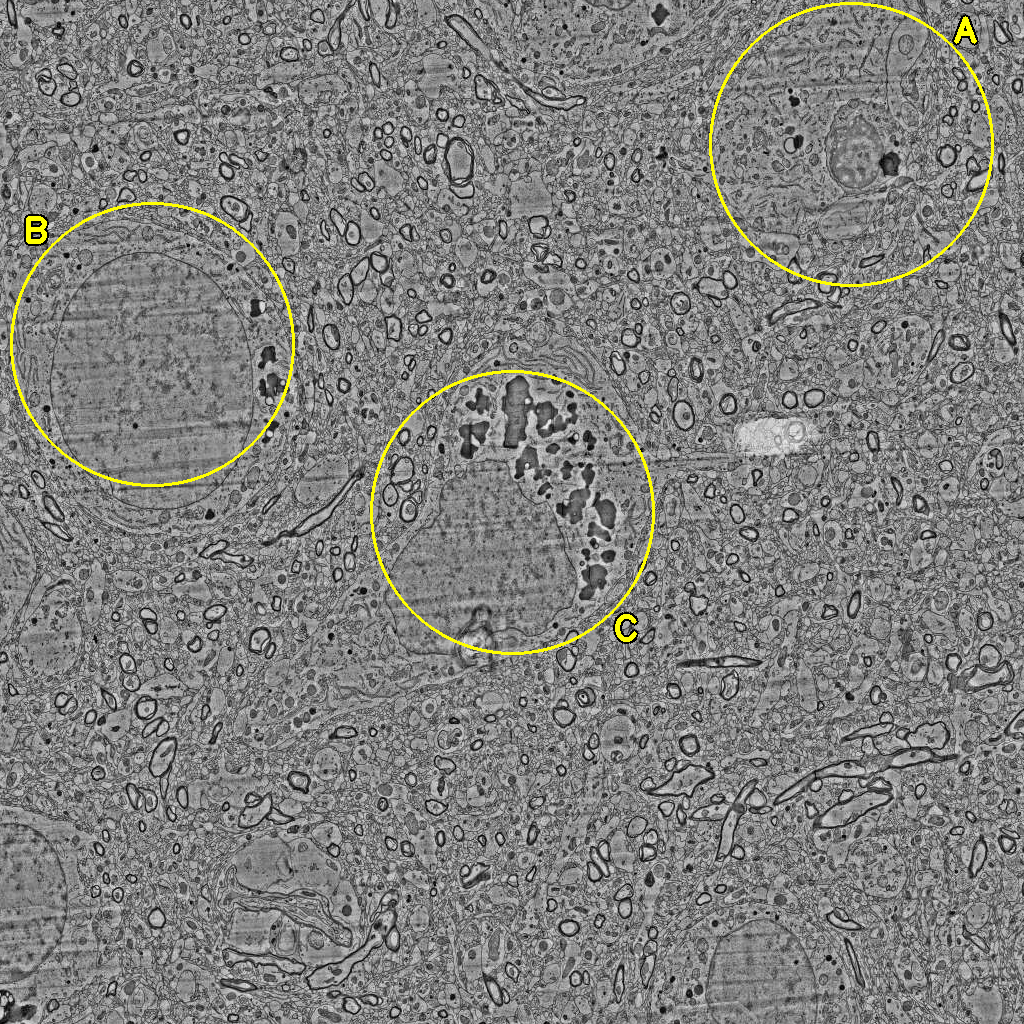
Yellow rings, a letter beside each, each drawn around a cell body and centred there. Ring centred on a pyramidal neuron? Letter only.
B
